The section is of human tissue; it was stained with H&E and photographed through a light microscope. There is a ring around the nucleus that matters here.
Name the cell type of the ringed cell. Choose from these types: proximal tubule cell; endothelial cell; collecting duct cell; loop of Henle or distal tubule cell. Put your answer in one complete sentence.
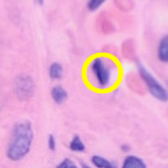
With respect to cell type, the ringed cell is an endothelial cell.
